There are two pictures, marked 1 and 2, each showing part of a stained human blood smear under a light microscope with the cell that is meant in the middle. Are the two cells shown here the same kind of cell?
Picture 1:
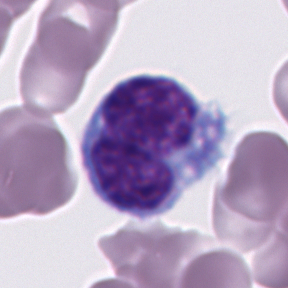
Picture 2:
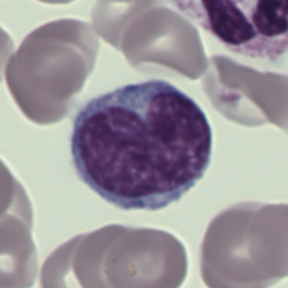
yes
